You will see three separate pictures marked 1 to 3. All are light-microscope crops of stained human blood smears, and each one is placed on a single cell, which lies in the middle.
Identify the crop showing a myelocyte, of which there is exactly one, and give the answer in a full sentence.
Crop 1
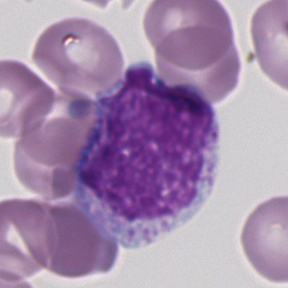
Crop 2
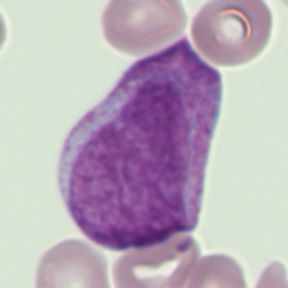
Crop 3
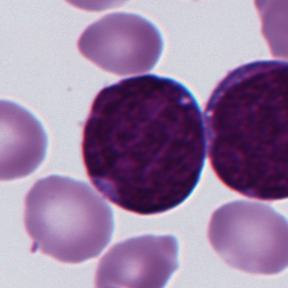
The one showing a myelocyte is the crop labelled 1.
